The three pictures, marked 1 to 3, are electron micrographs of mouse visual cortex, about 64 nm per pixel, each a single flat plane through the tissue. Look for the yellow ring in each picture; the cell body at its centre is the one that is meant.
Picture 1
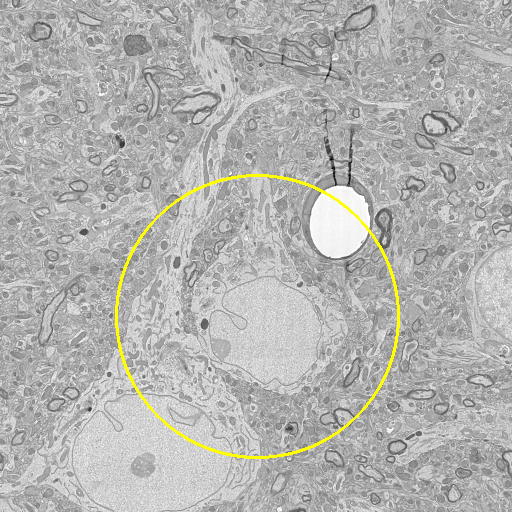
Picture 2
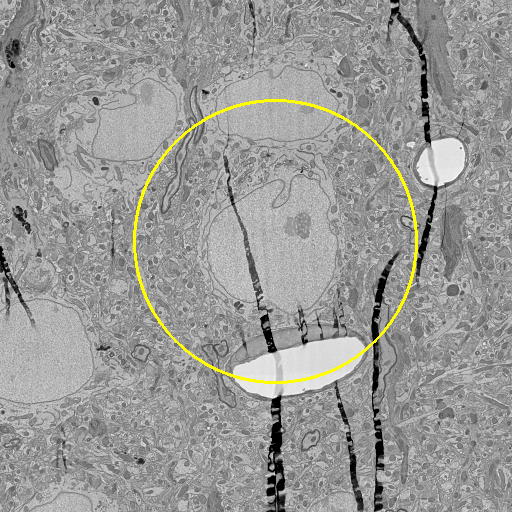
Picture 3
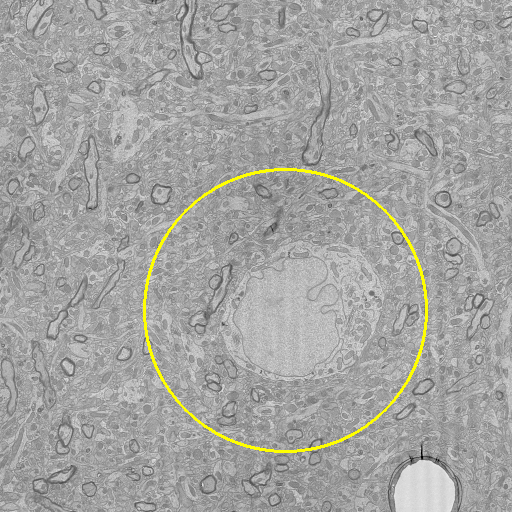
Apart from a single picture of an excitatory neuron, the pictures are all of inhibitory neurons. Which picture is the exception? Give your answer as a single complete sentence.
It is picture 1 that shows the excitatory neuron.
